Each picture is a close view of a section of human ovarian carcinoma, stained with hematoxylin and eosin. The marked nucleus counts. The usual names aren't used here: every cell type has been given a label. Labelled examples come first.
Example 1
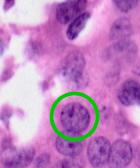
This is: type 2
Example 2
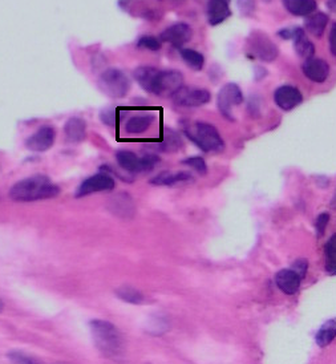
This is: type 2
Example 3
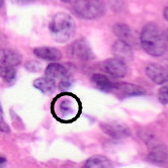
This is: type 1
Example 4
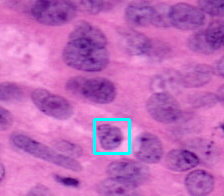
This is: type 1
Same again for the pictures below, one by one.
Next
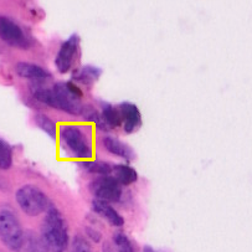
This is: type 2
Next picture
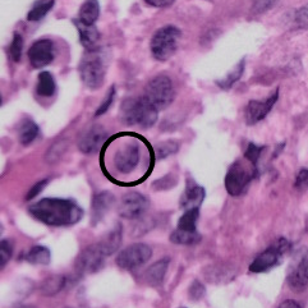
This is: type 1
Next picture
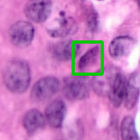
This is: type 2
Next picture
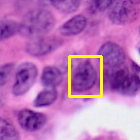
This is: type 2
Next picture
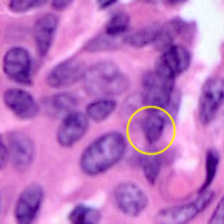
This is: type 2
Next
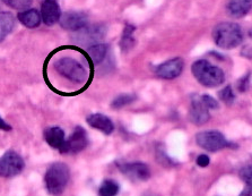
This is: type 2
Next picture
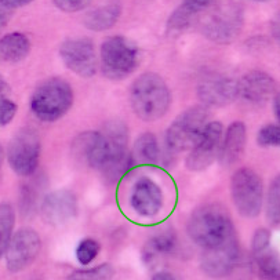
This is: type 1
